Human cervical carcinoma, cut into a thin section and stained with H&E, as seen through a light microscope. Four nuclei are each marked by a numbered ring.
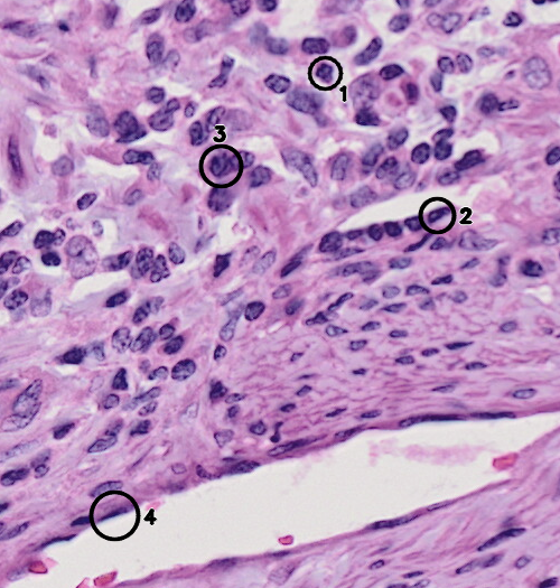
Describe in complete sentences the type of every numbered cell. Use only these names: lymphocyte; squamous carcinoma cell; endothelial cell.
Cell 1 is a lymphocyte, cell 2 is a lymphocyte, cell 3 is a lymphocyte and cell 4 is an endothelial cell.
